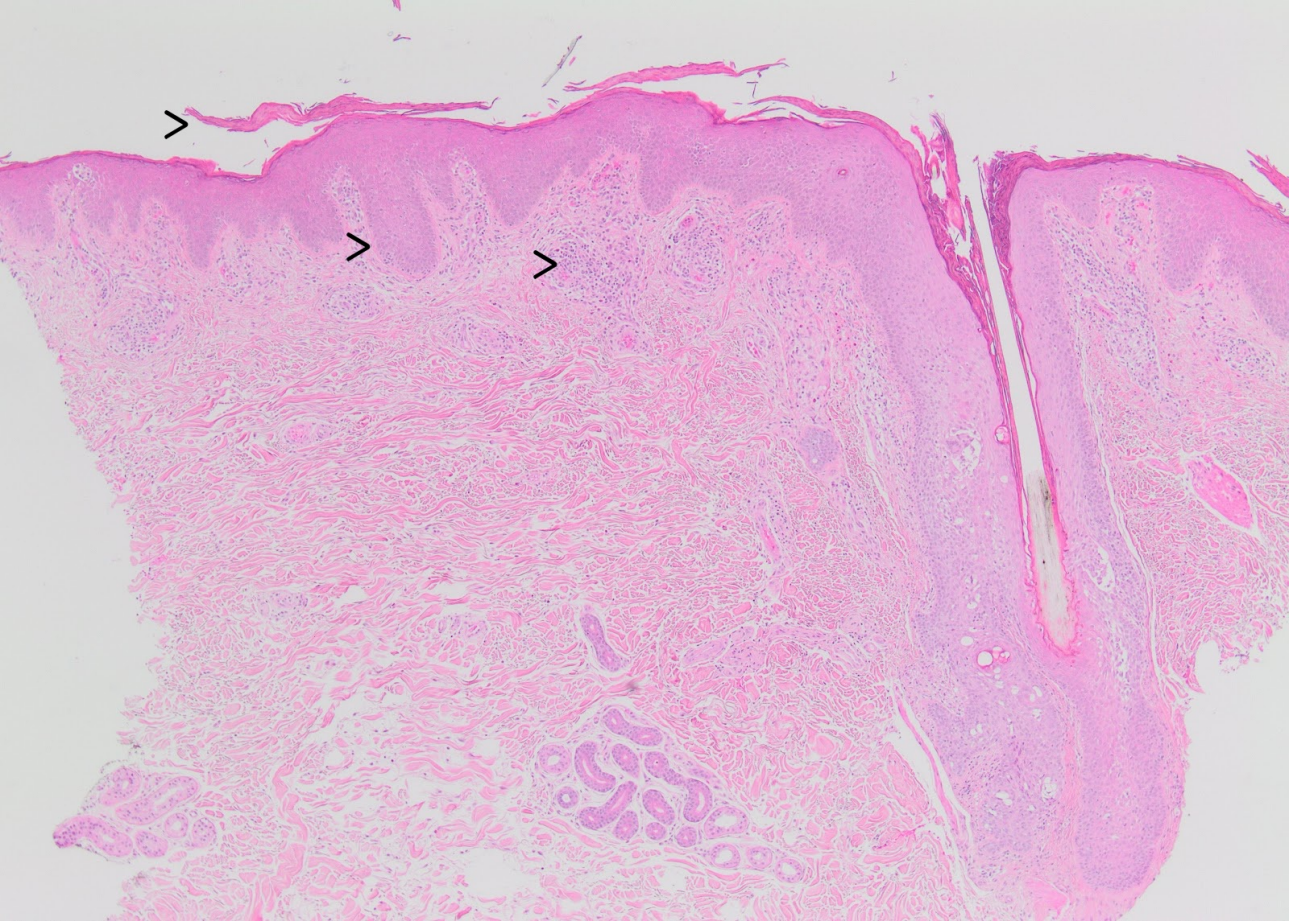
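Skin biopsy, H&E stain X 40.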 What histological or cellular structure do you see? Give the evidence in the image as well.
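A long tube of squamous epithelium runs down from the surface on the right. A hair shaft lies in the canal at its centre. The answer: hair follicle.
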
